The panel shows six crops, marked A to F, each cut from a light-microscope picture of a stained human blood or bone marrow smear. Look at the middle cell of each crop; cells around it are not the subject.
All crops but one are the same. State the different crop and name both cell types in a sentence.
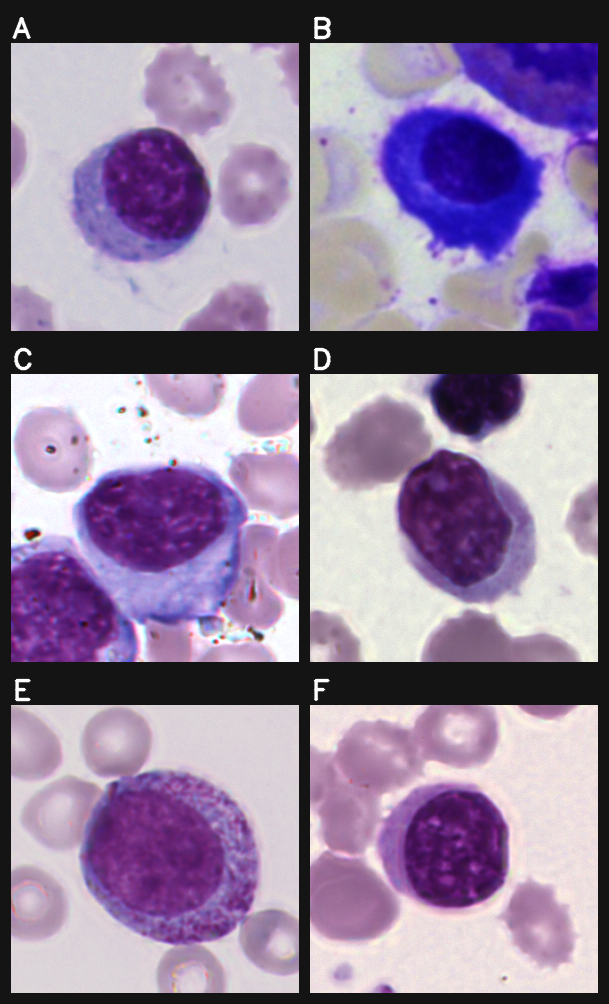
Crop E stands apart as a promyelocyte, whereas the remaining crops all show plasma cells.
